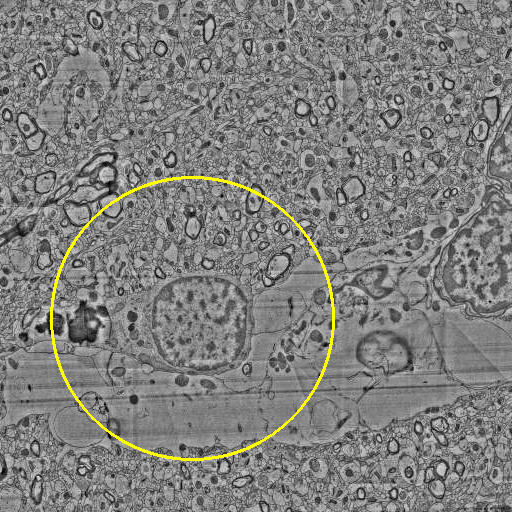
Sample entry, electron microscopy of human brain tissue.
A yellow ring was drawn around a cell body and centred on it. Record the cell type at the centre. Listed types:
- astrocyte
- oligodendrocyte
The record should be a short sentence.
The cell at the ring's centre is an oligodendrocyte.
